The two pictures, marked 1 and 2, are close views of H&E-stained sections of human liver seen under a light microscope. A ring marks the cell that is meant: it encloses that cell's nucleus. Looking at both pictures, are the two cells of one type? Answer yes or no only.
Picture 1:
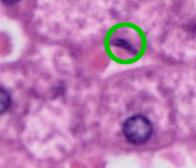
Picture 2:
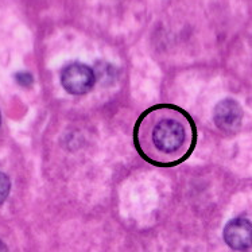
no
